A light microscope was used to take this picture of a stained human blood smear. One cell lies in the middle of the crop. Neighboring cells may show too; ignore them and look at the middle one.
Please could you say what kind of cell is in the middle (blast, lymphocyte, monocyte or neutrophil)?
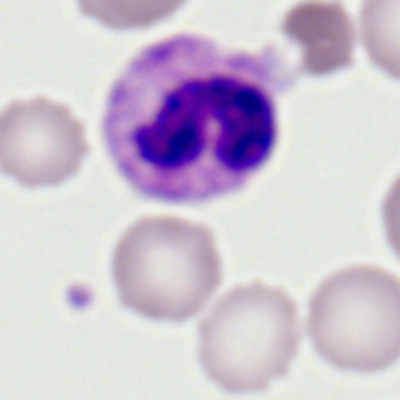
neutrophil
